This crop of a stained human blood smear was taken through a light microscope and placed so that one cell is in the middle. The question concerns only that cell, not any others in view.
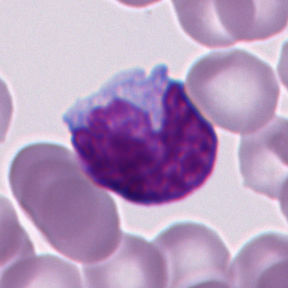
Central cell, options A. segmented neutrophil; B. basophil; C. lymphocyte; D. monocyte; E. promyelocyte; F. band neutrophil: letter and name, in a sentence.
In this crop the central cell is a monocyte, which option D correctly states.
